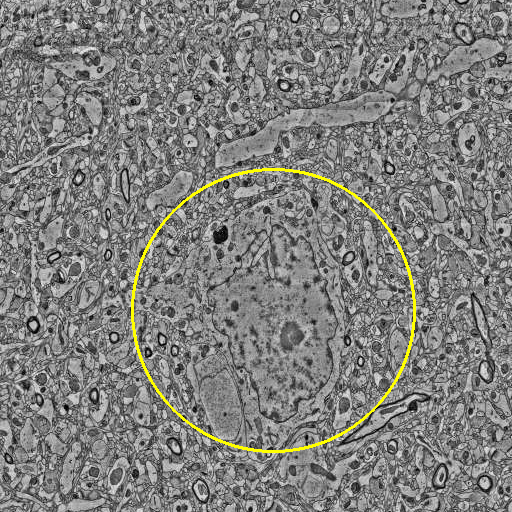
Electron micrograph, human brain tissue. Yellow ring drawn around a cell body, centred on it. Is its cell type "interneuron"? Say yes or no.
yes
